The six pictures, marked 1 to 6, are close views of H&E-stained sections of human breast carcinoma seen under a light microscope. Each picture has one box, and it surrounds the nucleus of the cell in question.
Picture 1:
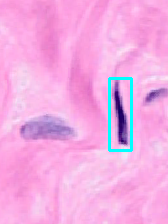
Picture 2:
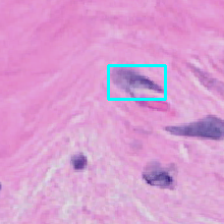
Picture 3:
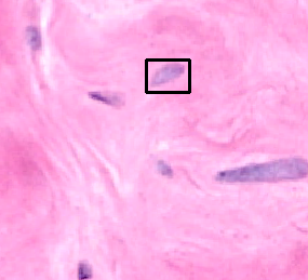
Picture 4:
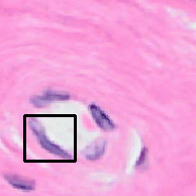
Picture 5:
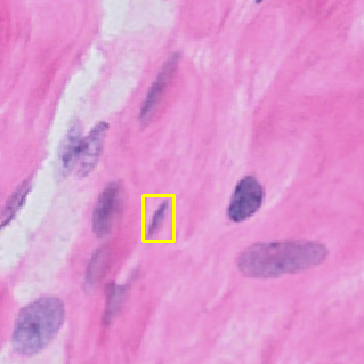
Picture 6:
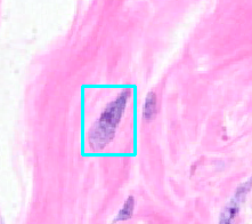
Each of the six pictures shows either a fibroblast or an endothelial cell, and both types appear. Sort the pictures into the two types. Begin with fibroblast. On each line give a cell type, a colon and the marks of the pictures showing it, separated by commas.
fibroblast: 1, 3, 5, 6
endothelial cell: 2, 4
